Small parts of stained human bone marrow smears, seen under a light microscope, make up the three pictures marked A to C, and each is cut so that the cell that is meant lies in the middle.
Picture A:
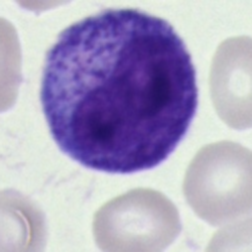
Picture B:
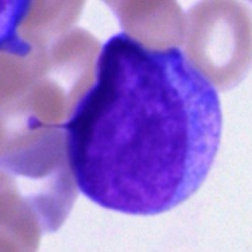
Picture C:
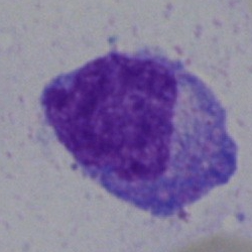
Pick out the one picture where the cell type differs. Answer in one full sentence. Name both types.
Picture B is the odd one out: it shows a blast, while the others show promyelocytes.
